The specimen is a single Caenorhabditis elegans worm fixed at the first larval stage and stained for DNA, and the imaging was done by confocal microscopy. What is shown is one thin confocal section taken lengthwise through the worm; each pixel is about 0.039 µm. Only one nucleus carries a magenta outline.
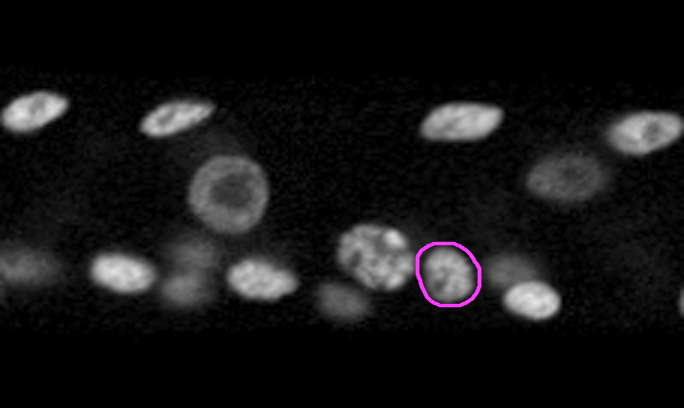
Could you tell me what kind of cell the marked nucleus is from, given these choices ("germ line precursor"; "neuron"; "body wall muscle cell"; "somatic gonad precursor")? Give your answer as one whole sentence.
What is marked is the nucleus of a somatic gonad precursor.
